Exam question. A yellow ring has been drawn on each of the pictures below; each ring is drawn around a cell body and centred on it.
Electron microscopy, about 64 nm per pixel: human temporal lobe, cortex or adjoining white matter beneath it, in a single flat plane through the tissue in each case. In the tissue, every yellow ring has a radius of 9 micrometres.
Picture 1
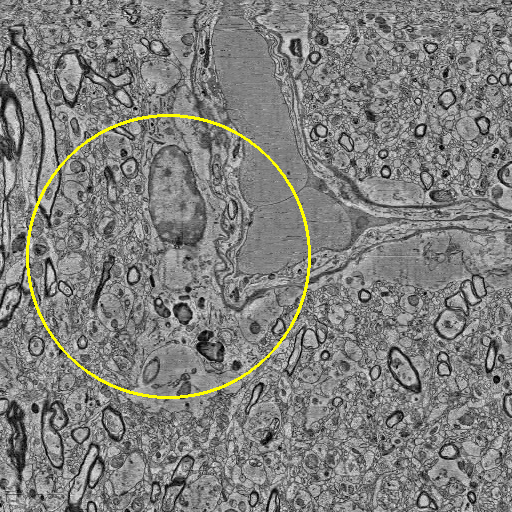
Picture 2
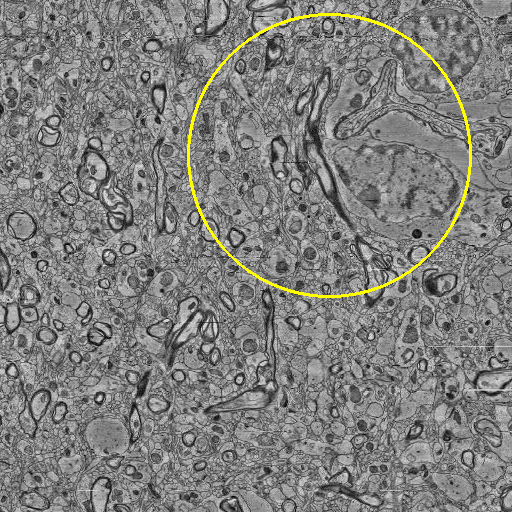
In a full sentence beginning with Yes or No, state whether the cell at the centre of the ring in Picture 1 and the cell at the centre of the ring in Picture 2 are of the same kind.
Yes, the two cells are of the same kind.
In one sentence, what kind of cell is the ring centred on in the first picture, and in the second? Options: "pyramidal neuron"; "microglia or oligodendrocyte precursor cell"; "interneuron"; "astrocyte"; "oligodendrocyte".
Both pictures show a microglial cell or oligodendrocyte precursor cell at the centre of the ring.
